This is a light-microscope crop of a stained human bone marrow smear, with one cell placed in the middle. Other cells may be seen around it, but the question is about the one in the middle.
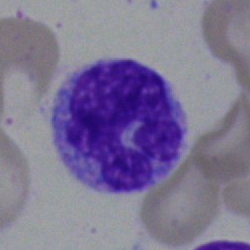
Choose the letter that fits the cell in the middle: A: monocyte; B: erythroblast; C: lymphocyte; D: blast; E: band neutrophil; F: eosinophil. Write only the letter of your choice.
A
